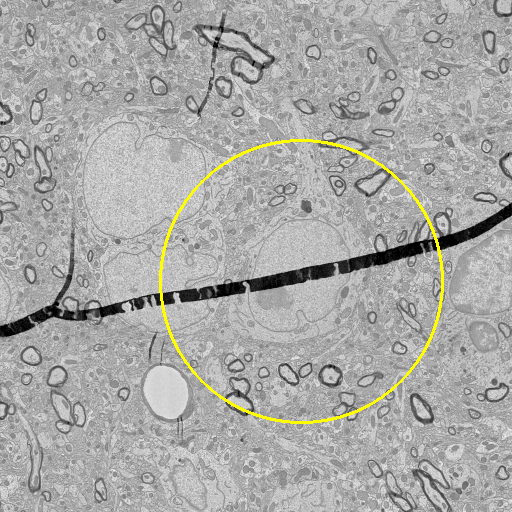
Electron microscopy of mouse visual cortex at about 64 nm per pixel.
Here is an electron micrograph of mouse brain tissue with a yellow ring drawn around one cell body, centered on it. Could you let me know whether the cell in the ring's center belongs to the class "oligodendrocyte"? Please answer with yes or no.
no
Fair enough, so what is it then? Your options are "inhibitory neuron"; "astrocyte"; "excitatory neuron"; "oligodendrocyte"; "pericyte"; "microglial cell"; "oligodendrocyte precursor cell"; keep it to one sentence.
Instead, what sits at the centre of the ring is an excitatory neuron.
